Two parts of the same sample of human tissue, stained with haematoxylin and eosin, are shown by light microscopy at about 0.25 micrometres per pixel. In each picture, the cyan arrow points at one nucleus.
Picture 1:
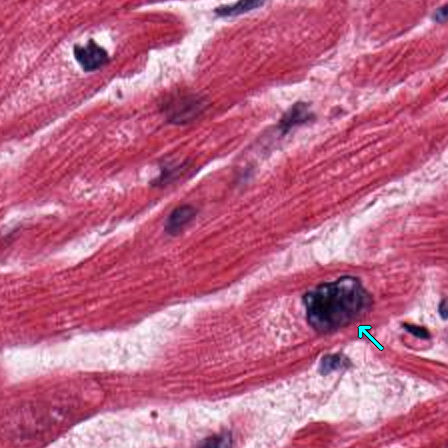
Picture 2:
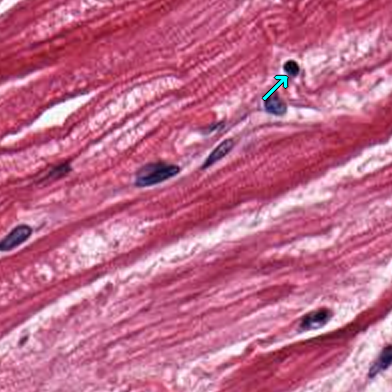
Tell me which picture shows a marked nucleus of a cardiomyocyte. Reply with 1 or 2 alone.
1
